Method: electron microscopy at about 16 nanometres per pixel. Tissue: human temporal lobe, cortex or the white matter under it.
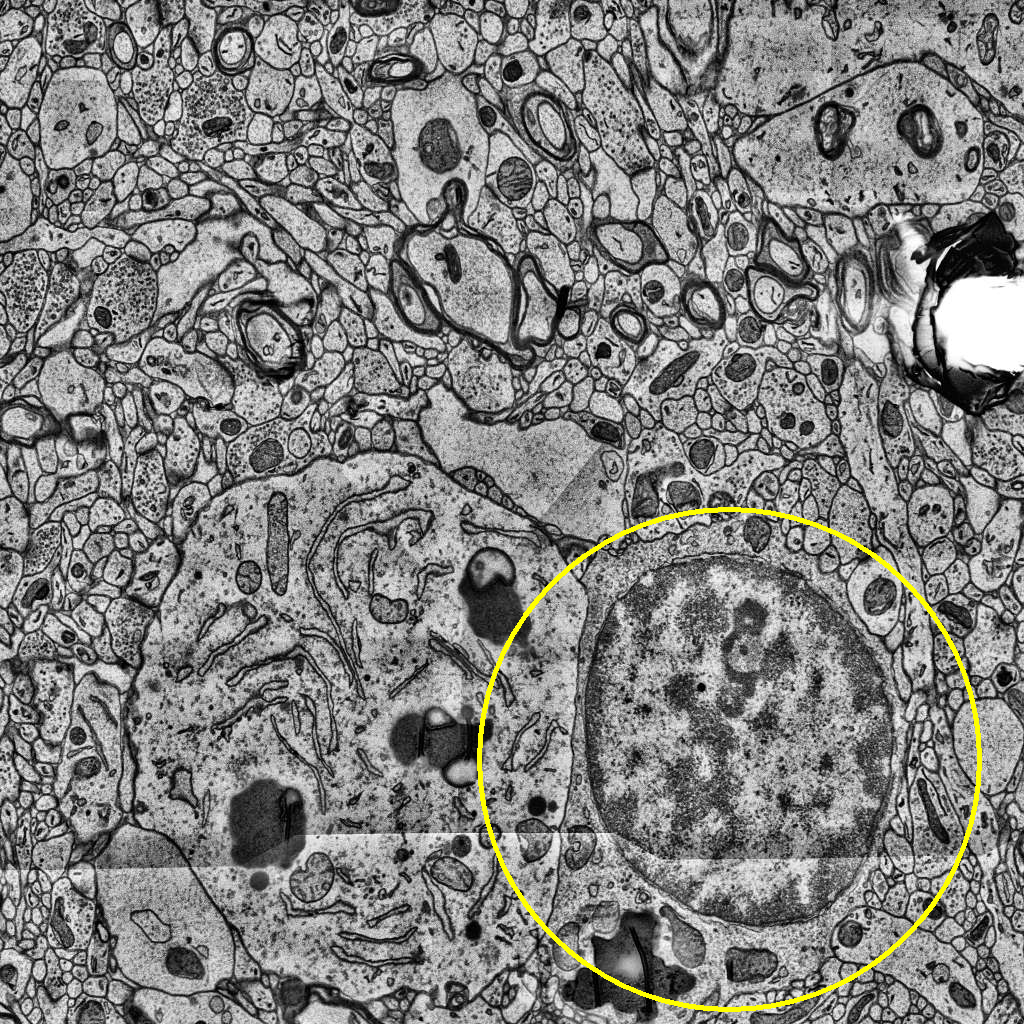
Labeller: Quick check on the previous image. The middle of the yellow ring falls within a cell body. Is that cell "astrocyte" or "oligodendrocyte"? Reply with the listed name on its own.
oligodendrocyte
